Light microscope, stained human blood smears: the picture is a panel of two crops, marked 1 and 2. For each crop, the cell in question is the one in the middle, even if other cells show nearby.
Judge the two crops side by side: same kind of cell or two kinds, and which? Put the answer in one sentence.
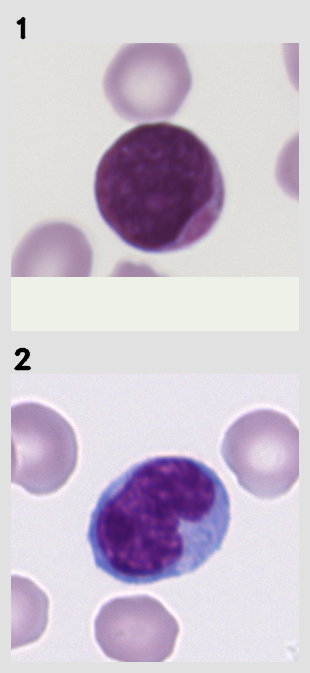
Yes, the centre cells of both crops are myeloblasts.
